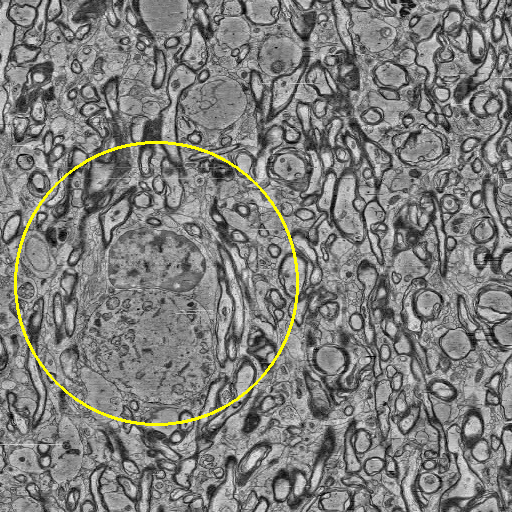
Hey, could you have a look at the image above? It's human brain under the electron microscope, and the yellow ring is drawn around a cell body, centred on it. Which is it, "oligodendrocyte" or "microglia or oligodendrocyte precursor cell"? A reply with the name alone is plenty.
microglia or oligodendrocyte precursor cell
